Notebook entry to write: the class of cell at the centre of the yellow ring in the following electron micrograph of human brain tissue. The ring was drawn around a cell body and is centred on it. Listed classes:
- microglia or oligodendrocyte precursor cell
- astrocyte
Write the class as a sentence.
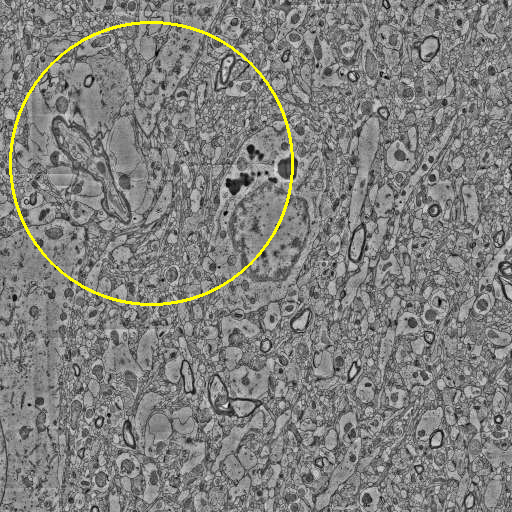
The yellow ring sits on a microglial cell or oligodendrocyte precursor cell.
